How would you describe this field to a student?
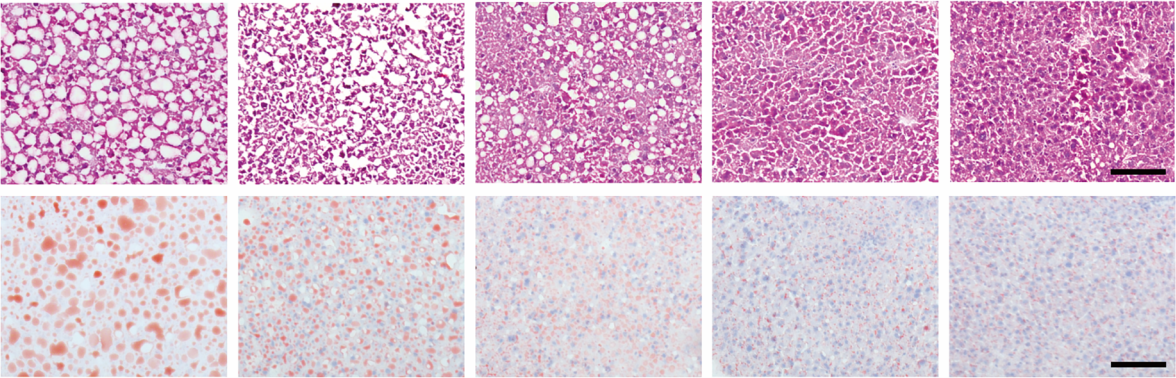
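In the leftmost upper image, the hepatocytes are filled with many round clear vacuoles of varied size, giving a lacy appearance. Toward the right of the upper row, the vacuoles become fewer and the cells more solidly pink with visible nuclei.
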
